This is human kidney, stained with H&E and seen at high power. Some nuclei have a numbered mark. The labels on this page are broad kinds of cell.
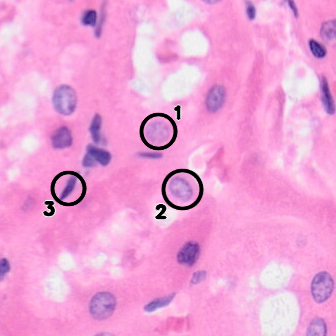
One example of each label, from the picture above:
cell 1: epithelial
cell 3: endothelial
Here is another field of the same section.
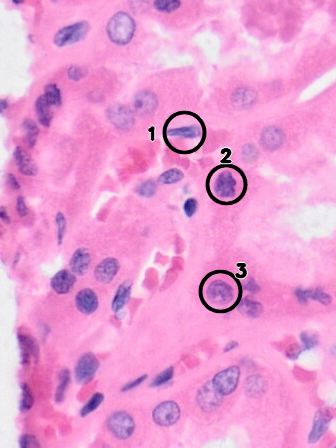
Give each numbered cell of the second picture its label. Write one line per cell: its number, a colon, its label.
1: endothelial
2: epithelial
3: epithelial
